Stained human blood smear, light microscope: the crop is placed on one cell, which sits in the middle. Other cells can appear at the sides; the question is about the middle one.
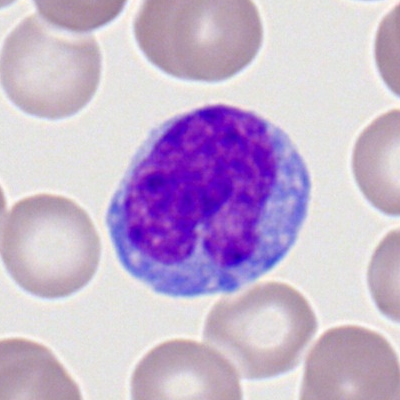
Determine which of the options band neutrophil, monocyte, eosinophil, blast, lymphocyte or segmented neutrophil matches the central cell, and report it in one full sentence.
The cell at the central position in this crop is a monocyte.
